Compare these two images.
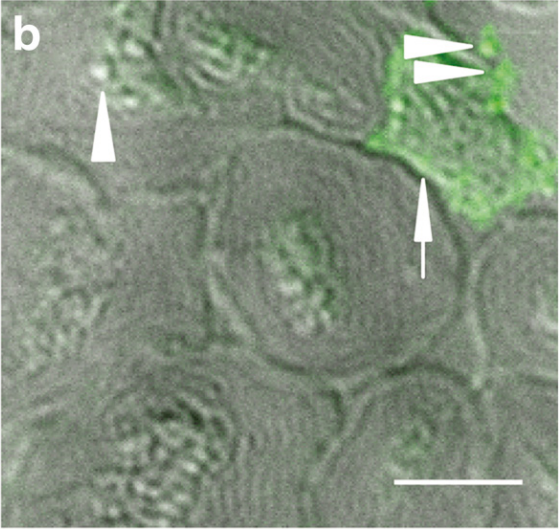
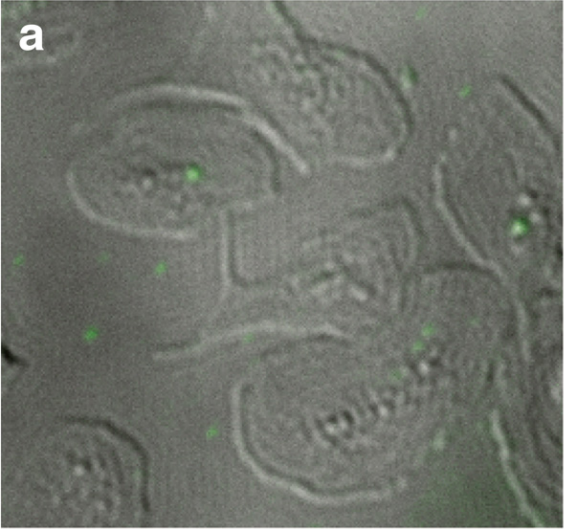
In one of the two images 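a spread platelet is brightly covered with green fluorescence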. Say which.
the first image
